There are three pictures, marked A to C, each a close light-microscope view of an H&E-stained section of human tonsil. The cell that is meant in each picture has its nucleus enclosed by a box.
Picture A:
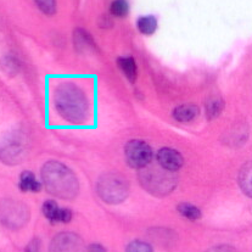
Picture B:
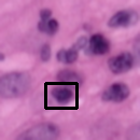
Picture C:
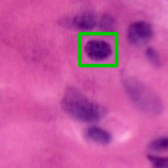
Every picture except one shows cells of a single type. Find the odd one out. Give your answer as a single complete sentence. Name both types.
Unlike the rest, which show squamous epithelial cells, picture C shows a mast cell.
